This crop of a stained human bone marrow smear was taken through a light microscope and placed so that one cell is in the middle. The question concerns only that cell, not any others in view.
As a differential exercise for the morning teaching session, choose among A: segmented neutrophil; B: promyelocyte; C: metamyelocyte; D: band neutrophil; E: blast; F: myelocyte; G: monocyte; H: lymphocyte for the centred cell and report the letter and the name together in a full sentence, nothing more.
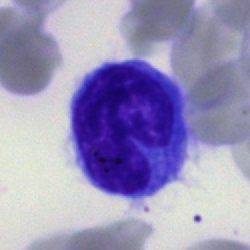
Since the cell in the centre is a monocyte, the correct option is G.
